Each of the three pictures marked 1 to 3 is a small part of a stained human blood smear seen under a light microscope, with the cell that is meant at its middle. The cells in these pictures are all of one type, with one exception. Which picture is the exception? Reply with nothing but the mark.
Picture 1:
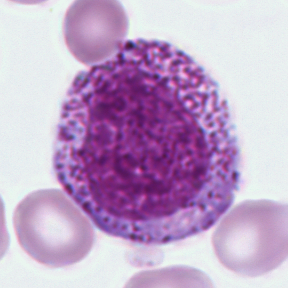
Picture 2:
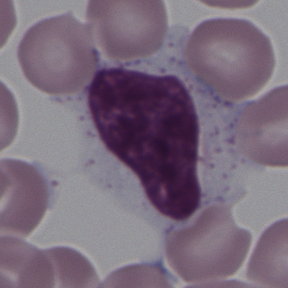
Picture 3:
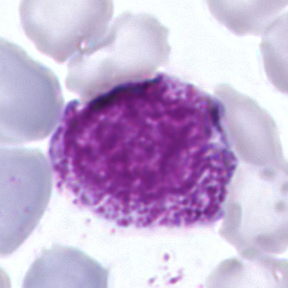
2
